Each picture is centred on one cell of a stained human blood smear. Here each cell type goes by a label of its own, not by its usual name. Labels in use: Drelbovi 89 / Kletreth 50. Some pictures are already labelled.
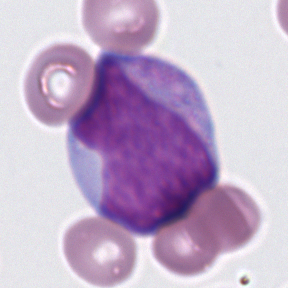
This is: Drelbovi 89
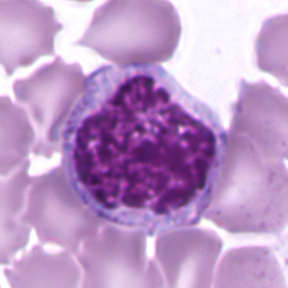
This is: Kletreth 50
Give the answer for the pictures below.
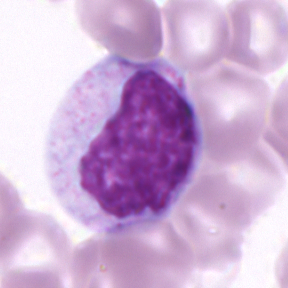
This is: Kletreth 50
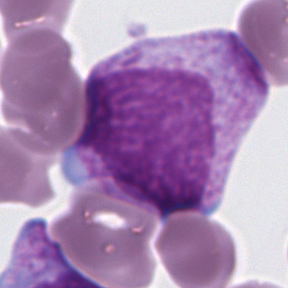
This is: Drelbovi 89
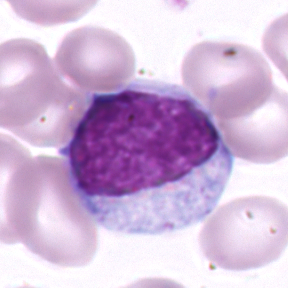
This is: Kletreth 50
